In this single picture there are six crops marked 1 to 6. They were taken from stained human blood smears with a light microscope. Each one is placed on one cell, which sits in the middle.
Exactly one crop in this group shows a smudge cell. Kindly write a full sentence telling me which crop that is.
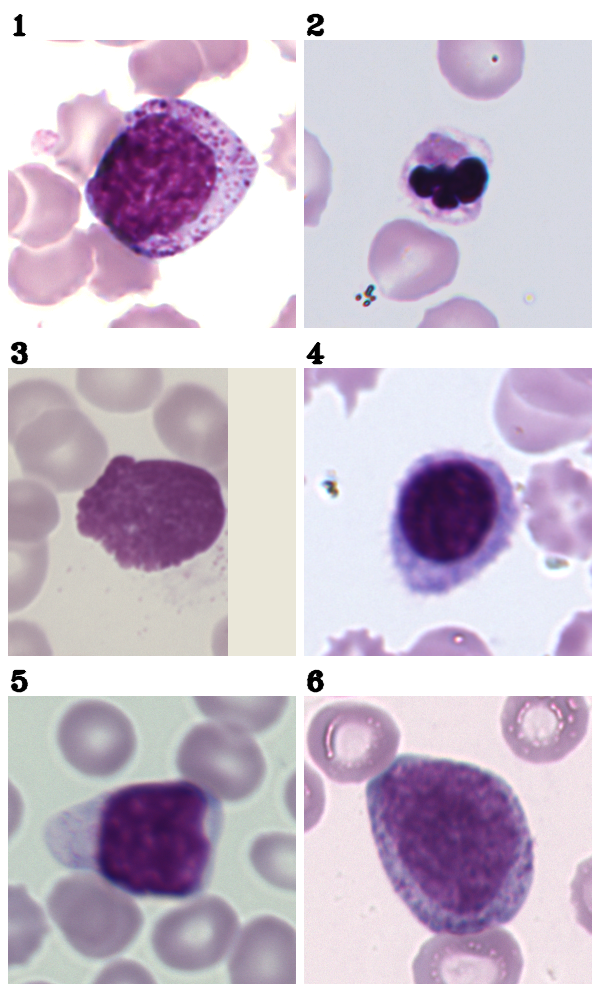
The crop in which a smudge cell is shown is crop 3.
